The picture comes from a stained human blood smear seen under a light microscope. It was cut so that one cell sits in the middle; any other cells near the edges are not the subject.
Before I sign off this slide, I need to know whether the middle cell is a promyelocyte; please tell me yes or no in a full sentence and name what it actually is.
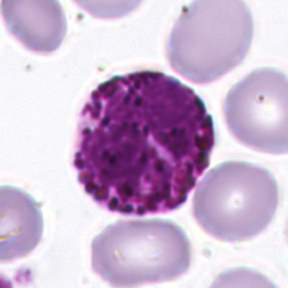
No, this is not a promyelocyte at all; the cell in the middle is a basophil.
